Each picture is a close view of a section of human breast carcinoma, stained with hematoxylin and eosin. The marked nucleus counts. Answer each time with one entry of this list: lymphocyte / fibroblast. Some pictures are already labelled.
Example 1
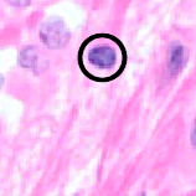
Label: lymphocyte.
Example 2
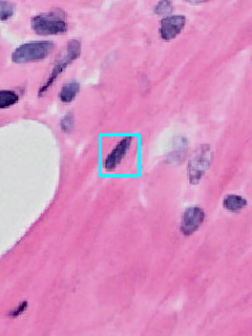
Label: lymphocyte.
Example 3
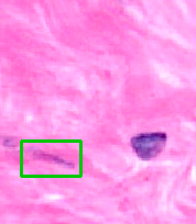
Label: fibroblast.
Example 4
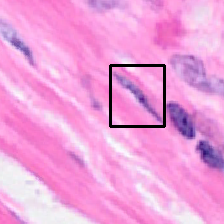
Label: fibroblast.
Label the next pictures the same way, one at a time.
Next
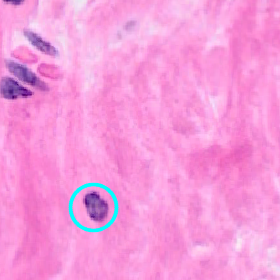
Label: lymphocyte.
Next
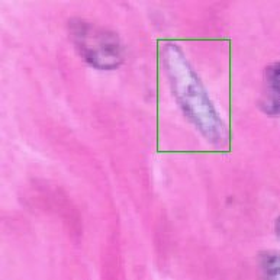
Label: fibroblast.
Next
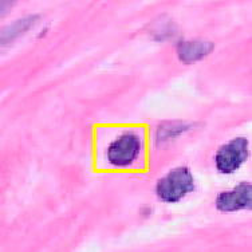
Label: lymphocyte.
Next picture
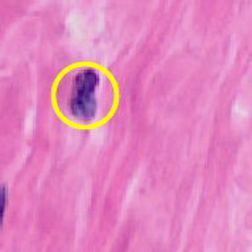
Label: lymphocyte.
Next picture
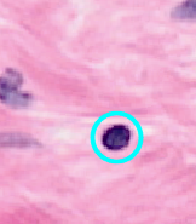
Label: lymphocyte.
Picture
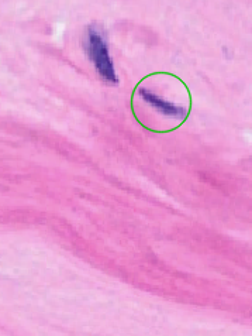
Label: fibroblast.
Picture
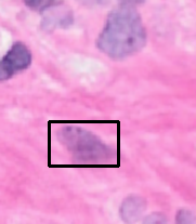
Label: fibroblast.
